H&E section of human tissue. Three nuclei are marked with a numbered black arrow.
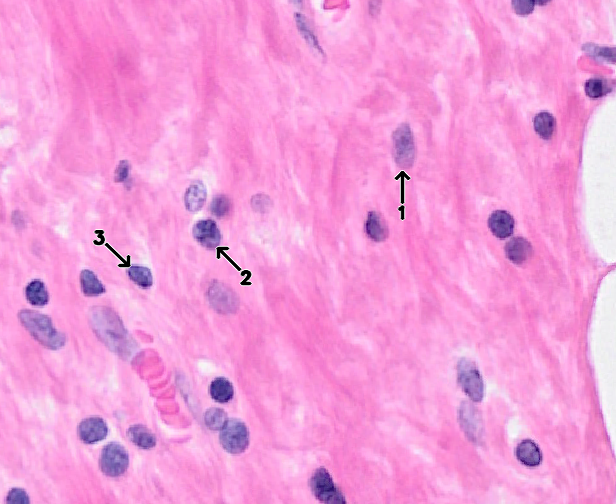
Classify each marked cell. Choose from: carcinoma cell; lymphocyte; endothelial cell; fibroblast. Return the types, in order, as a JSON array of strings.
["fibroblast", "lymphocyte", "lymphocyte"]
